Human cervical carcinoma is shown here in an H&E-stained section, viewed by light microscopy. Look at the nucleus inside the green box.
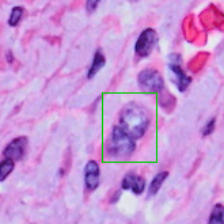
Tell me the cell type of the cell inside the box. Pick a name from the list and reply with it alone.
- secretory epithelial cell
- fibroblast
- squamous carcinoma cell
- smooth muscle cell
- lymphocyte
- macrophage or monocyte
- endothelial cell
endothelial cell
